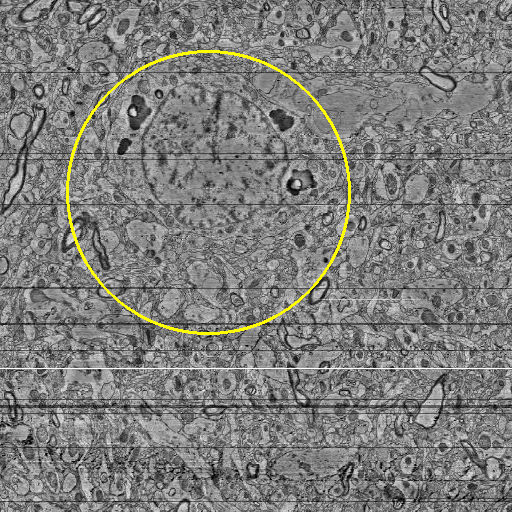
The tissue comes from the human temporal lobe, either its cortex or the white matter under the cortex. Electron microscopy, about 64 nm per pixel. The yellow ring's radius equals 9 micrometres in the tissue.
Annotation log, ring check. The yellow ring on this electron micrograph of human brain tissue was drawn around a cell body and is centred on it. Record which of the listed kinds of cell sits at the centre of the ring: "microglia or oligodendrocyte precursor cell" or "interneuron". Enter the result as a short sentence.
The cell at the centre of the ring is an interneuron.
